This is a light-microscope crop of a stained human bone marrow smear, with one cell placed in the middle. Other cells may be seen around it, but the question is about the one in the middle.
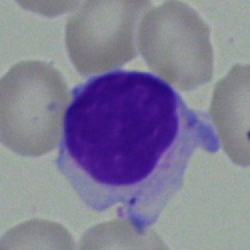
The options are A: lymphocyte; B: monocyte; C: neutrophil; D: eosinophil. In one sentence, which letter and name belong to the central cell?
The middle cell of the crop is a lymphocyte; accordingly, option A is correct.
